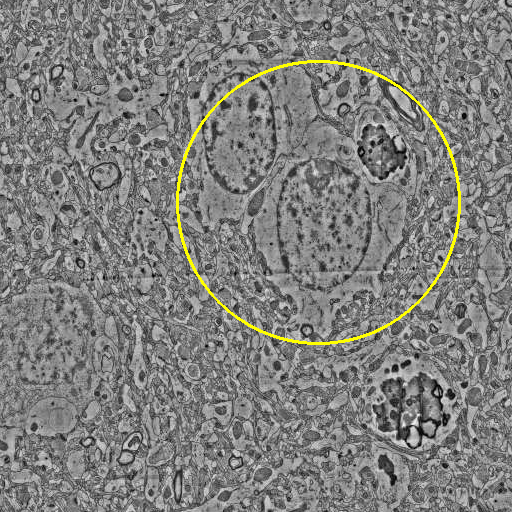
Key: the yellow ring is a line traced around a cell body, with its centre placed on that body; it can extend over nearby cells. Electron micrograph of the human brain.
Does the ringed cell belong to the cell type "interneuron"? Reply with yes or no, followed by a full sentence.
No, the cell at the centre of the yellow ring in the picture is of another type.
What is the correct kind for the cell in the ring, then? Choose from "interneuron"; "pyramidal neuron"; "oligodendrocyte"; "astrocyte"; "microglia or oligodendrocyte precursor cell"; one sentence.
The cell ringed in the picture is an astrocyte.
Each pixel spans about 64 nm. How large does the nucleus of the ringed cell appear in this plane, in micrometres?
Roughly 8 by 6 micrometres is the size of the nucleus in this plane.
